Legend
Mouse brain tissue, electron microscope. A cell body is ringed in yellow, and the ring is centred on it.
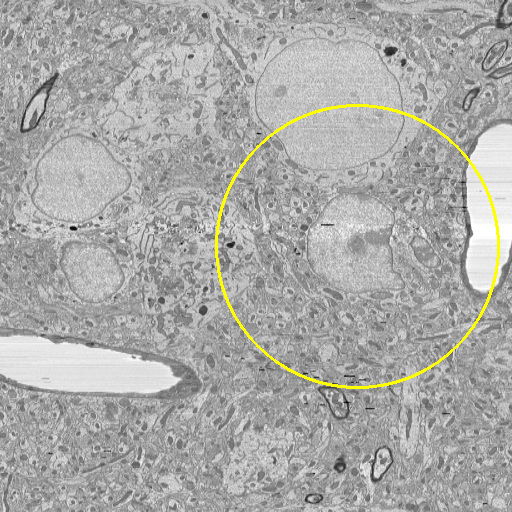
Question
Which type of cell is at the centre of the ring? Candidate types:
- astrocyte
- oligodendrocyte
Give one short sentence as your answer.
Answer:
The yellow ring is centred here on an astrocyte.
